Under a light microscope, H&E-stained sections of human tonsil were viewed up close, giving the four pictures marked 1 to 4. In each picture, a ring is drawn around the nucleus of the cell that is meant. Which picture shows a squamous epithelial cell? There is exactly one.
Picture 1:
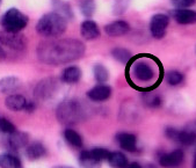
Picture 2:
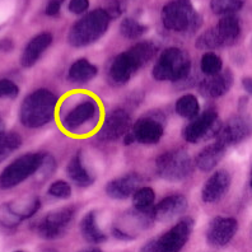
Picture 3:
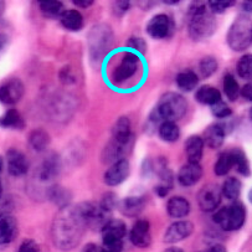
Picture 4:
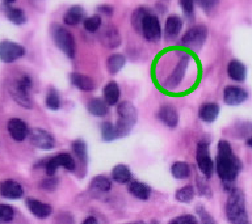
2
